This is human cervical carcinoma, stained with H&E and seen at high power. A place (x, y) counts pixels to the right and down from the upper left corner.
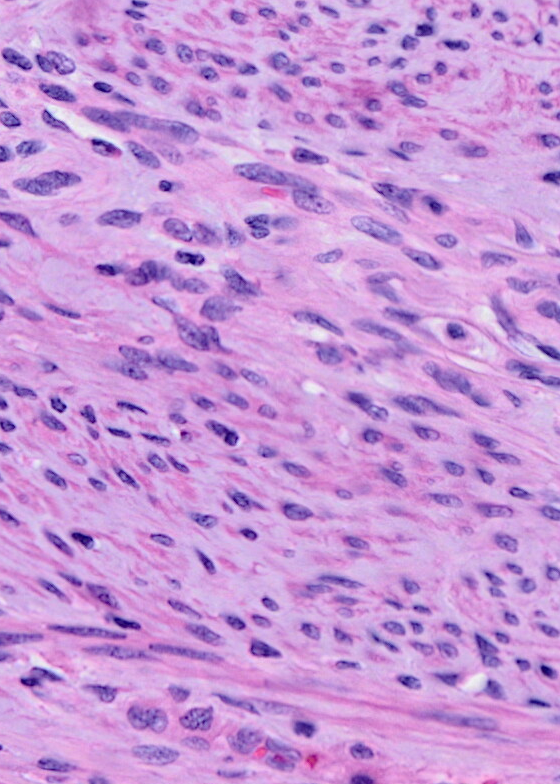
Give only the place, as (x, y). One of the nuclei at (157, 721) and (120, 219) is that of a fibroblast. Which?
(120, 219)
